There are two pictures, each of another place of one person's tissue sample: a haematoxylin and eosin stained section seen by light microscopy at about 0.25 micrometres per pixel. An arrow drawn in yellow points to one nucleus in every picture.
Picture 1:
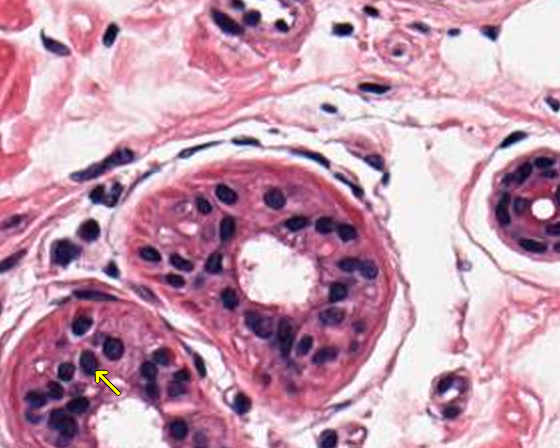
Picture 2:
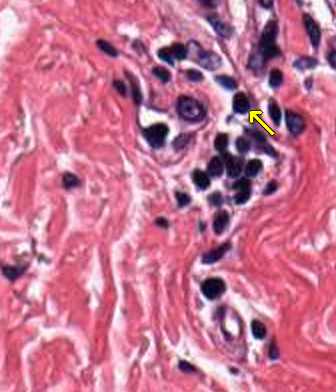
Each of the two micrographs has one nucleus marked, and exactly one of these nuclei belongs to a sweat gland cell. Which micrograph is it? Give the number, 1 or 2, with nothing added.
1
